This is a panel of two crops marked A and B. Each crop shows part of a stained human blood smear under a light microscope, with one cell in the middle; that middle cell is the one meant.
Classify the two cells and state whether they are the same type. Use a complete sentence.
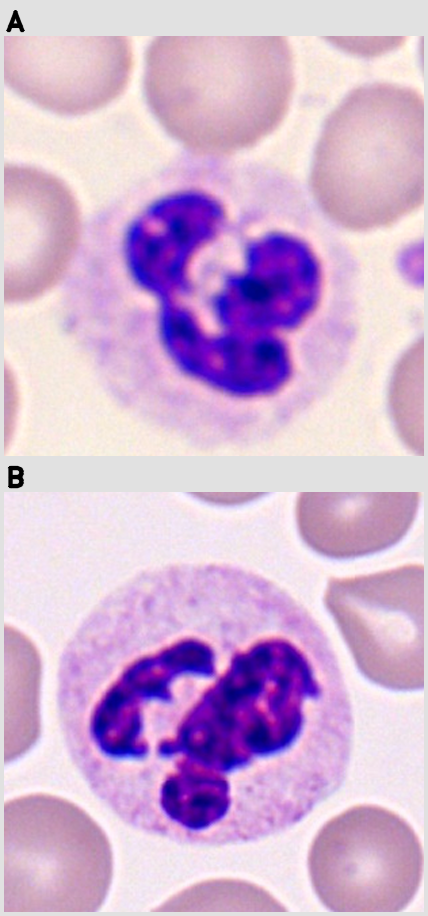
Yes, both crops show segmented neutrophils in their central position.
